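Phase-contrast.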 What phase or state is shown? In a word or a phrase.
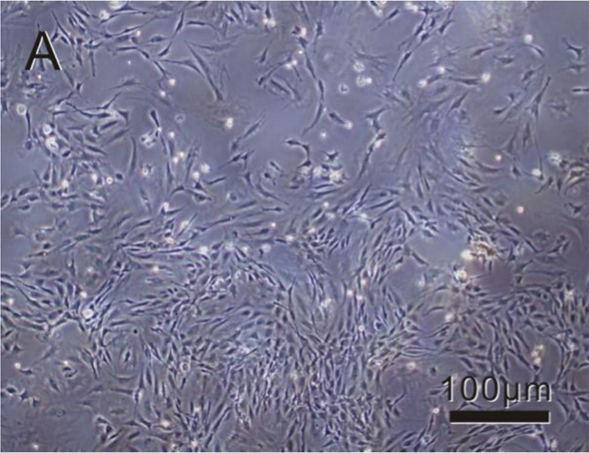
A: Diverse morphologies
